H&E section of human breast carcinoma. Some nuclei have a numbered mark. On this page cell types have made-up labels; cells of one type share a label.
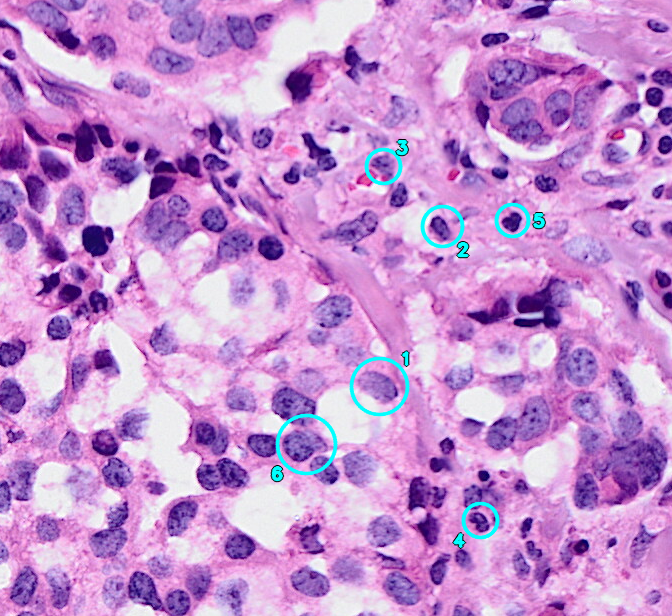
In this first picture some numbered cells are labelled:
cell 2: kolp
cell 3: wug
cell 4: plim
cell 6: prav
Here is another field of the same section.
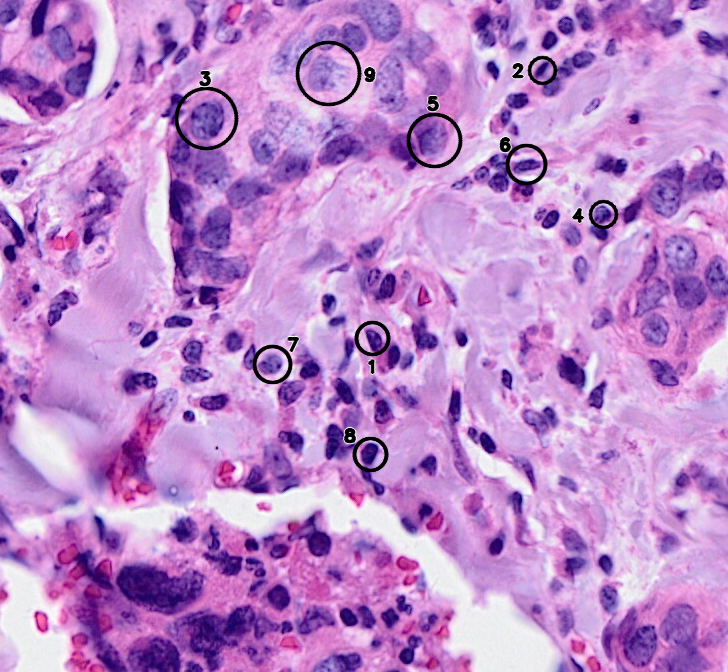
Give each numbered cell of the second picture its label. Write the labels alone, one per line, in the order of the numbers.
plim
plim
prav
plim
prav
plim
kolp
plim
prav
